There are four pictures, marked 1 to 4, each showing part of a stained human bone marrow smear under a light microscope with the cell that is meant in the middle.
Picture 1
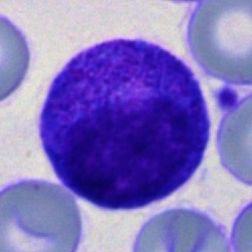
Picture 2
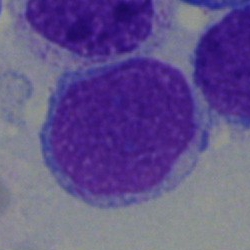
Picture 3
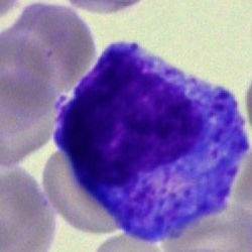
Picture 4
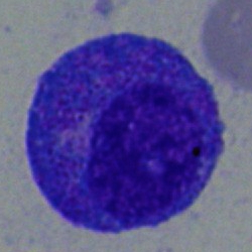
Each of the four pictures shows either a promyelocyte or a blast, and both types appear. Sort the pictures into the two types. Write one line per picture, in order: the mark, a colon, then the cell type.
1: promyelocyte
2: blast
3: promyelocyte
4: promyelocyte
